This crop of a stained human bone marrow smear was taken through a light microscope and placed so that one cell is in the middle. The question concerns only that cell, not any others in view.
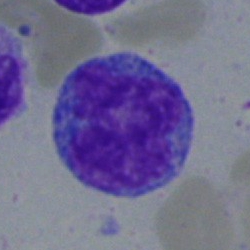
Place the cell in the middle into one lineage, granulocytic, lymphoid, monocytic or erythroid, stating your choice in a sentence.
Here the cell at the center is of the monocytic lineage.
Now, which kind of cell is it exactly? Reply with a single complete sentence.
The centrally located cell in the crop is a monocyte.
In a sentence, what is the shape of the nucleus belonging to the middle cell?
A single compact nucleus, round, oval or kidney-shaped, is what this cell shows.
